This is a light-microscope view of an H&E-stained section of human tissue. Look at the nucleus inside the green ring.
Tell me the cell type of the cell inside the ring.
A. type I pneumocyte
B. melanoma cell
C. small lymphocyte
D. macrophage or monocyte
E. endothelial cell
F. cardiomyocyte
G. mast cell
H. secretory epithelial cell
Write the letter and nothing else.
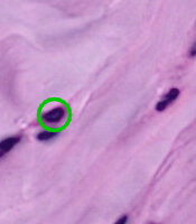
G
